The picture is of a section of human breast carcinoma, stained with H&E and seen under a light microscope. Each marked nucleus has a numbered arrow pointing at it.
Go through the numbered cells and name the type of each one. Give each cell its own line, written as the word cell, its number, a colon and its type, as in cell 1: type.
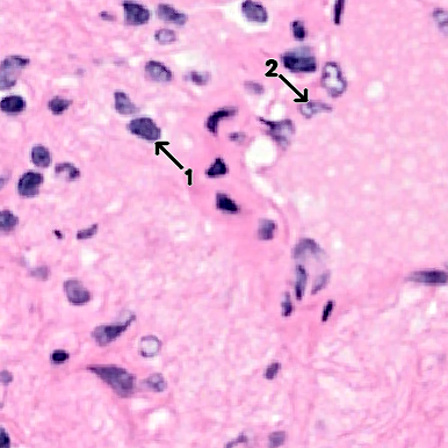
cell 1: lymphocyte
cell 2: endothelial cell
